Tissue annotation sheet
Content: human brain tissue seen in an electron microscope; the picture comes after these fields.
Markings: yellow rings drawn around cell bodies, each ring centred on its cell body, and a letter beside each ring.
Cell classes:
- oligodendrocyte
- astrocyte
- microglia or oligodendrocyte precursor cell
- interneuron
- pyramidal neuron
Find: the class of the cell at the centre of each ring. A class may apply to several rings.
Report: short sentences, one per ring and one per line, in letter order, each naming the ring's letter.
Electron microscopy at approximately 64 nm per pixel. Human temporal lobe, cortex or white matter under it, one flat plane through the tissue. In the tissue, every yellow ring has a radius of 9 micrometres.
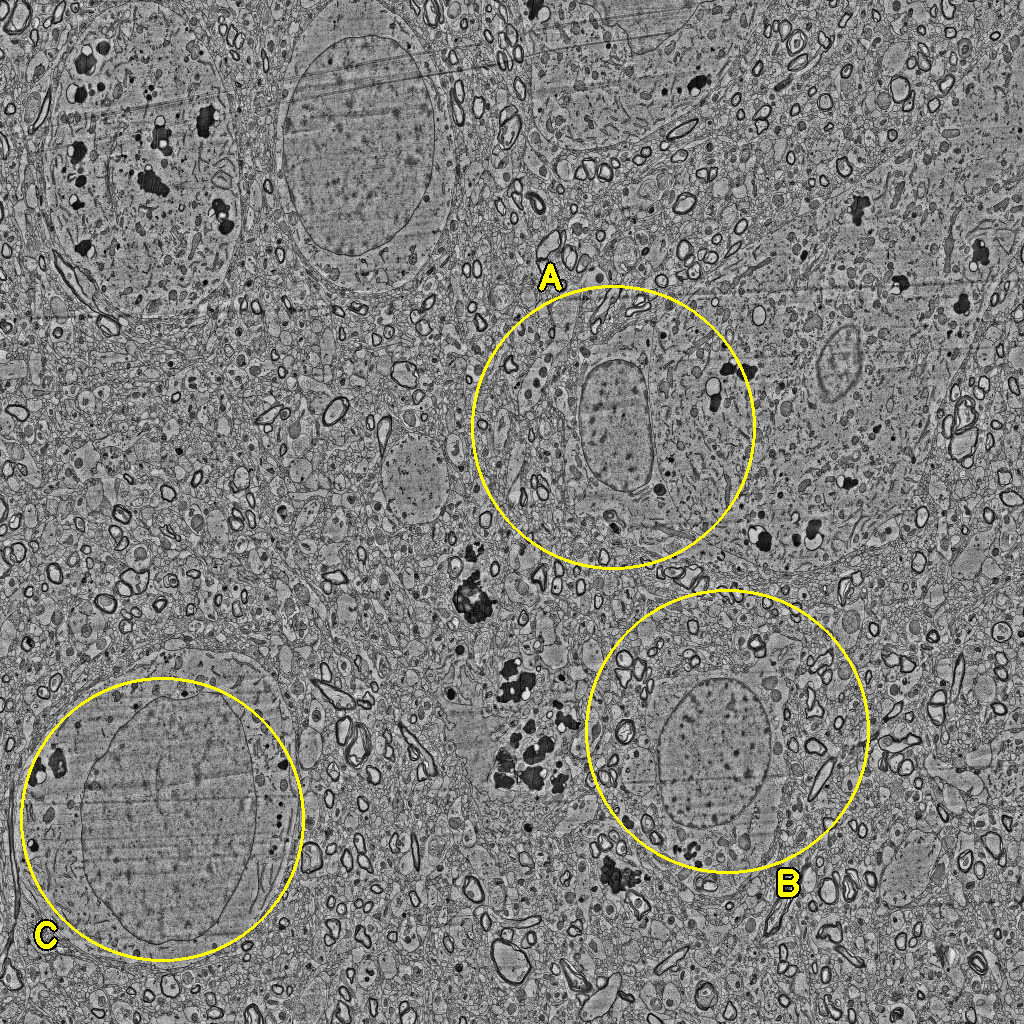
Ring A holds a microglial cell or oligodendrocyte precursor cell at its centre.
Ring B holds an astrocyte at its centre.
Ring C holds a pyramidal neuron at its centre.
